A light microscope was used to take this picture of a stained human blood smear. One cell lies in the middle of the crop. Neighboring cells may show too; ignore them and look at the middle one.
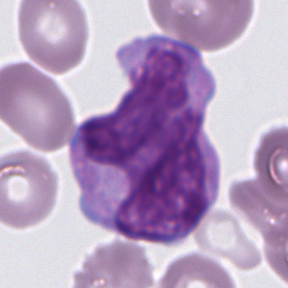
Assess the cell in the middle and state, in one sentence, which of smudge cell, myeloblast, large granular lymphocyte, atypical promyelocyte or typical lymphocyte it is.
The cell the crop is centered on is an atypical promyelocyte.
